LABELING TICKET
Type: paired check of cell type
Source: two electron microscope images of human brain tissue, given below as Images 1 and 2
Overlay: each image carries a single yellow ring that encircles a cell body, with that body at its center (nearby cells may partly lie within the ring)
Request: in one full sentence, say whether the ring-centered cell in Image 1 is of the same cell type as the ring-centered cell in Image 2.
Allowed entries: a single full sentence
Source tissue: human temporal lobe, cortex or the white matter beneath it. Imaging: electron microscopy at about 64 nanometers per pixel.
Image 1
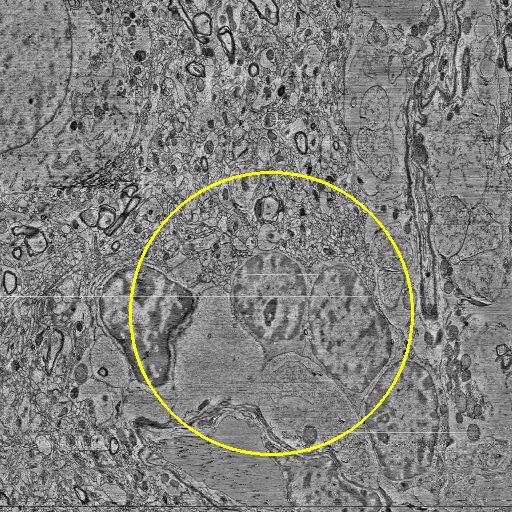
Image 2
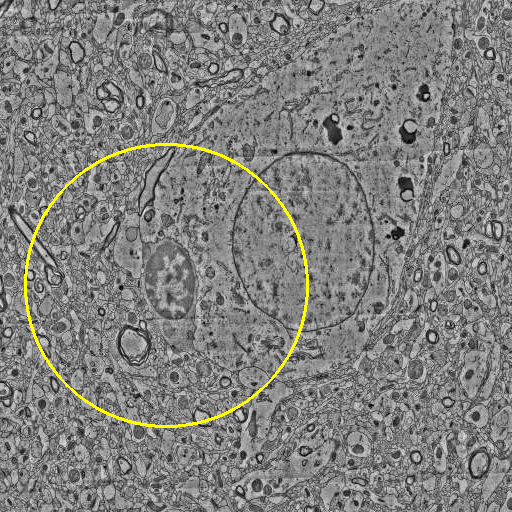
Yes, the cells centered in the rings of Image 1 and Image 2 share one type.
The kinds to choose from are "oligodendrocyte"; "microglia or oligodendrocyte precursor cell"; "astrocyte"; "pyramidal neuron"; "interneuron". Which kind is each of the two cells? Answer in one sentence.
In the first picture and in the second, the ring is centred on an oligodendrocyte.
